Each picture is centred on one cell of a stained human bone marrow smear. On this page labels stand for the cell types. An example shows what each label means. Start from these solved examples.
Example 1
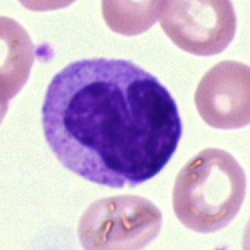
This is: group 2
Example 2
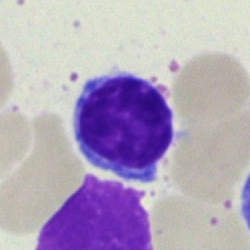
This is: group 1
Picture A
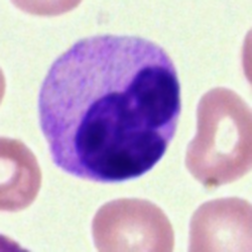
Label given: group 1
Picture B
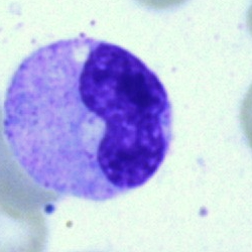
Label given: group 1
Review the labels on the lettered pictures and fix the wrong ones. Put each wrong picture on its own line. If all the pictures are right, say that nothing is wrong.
A: group 2, not group 1
B: group 2, not group 1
